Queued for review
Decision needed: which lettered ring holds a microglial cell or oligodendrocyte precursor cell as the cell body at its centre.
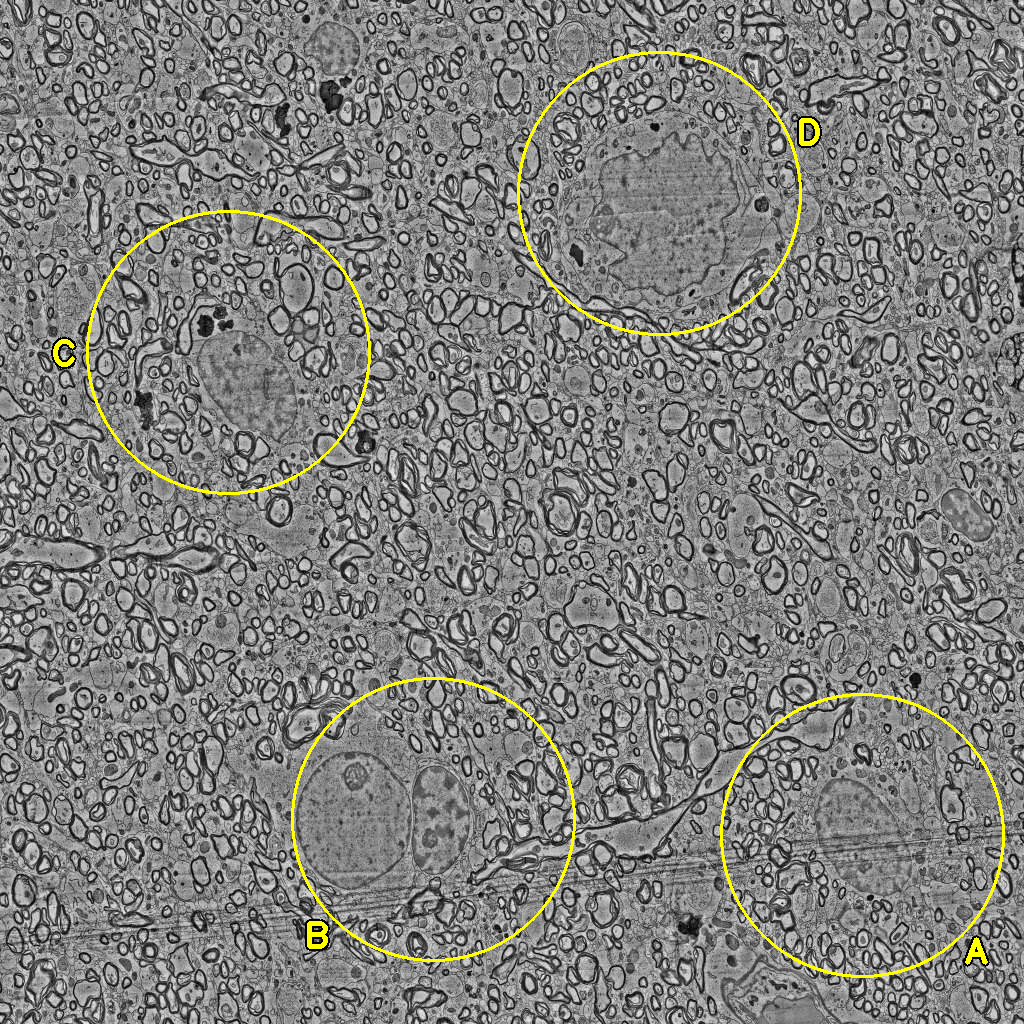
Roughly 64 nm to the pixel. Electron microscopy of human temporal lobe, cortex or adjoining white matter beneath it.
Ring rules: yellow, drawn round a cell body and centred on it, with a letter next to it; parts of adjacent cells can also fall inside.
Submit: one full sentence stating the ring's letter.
The cell asked for is the one at the centre of ring B in the picture.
